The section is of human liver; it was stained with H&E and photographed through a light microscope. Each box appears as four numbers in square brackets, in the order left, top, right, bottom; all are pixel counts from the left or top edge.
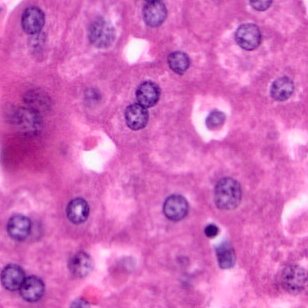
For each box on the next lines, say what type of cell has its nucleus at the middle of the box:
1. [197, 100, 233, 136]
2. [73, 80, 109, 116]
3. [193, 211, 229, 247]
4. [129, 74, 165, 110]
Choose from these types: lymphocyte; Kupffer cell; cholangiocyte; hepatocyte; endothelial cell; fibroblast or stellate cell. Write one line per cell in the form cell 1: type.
cell 1: Kupffer cell
cell 2: hepatocyte
cell 3: lymphocyte
cell 4: hepatocyte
